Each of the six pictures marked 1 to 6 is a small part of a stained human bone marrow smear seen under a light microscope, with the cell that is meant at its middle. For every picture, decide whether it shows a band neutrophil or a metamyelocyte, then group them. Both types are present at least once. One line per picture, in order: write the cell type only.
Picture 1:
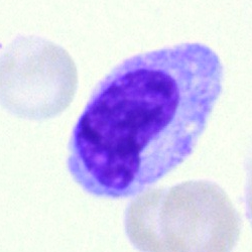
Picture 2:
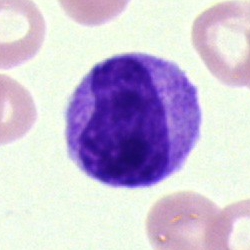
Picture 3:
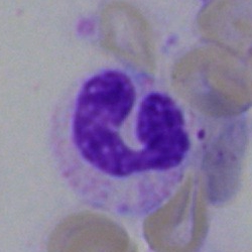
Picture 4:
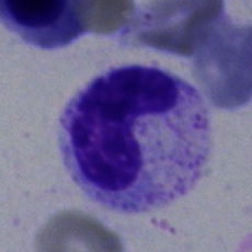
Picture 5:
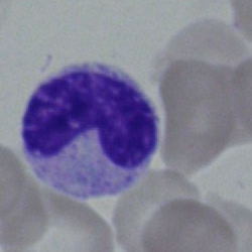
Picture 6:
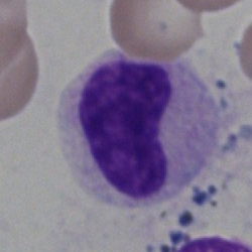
metamyelocyte
metamyelocyte
band neutrophil
band neutrophil
band neutrophil
metamyelocyte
